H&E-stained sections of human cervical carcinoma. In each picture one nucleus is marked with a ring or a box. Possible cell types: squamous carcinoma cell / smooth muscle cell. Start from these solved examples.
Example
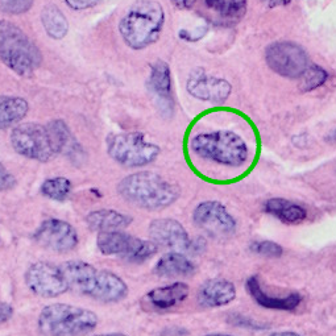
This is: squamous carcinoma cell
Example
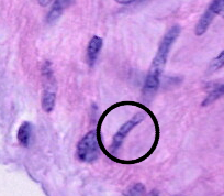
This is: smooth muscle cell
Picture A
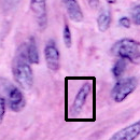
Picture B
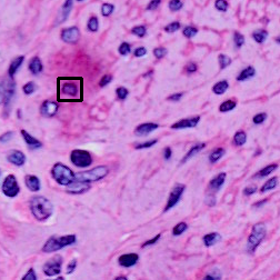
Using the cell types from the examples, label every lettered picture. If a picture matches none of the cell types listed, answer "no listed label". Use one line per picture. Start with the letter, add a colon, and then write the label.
A: smooth muscle cell
B: smooth muscle cell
